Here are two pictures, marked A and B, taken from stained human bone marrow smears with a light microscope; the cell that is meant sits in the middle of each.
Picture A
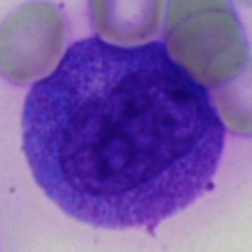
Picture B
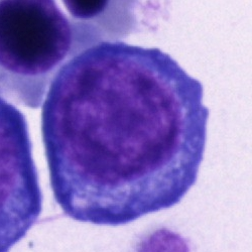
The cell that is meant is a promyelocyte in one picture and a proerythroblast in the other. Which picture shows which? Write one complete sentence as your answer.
It is picture A that shows a promyelocyte, and picture B that shows a proerythroblast.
